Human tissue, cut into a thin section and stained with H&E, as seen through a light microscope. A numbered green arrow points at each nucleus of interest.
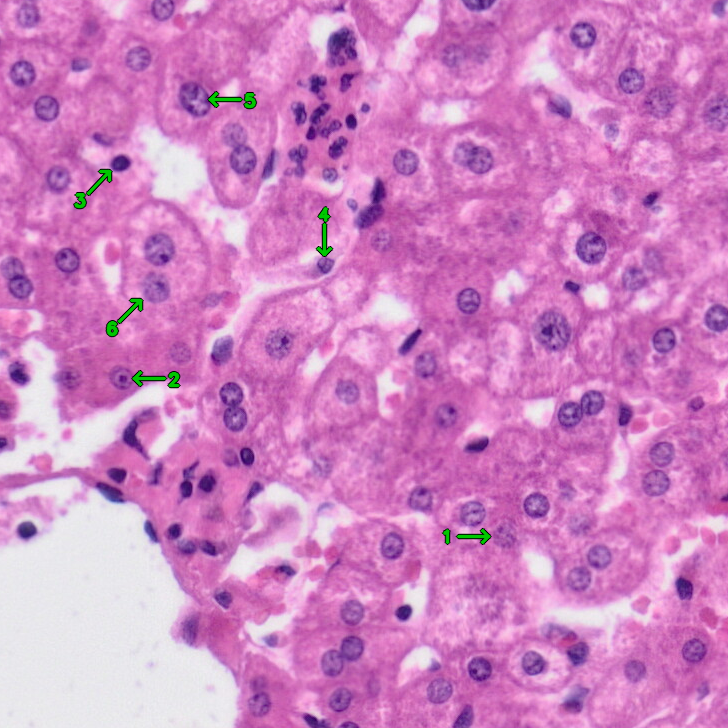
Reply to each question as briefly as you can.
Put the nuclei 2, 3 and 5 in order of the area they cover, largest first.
5, 2, 3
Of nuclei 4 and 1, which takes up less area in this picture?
4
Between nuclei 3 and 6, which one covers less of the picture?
3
